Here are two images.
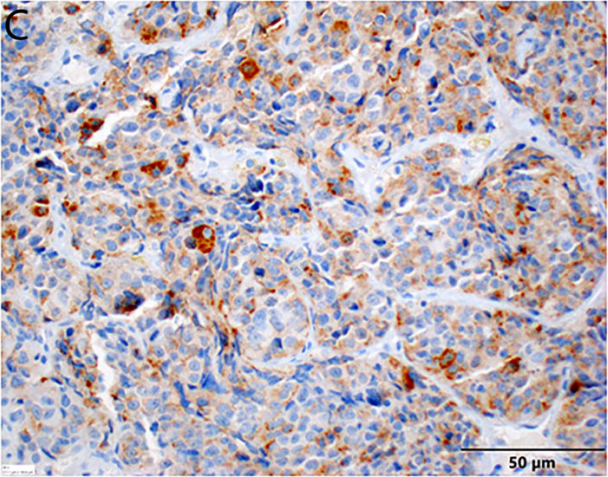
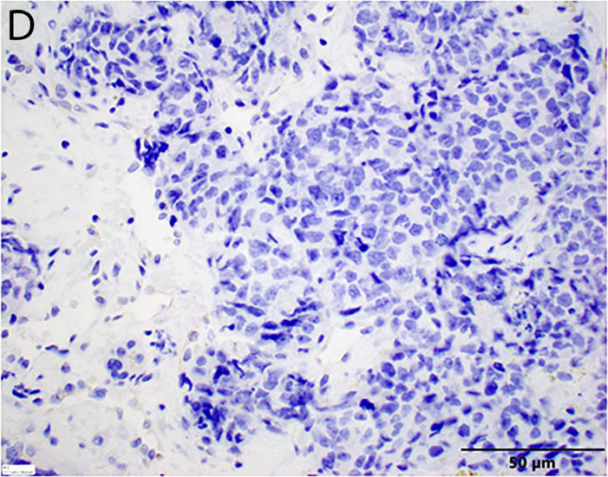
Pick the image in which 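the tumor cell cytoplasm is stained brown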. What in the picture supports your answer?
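Second image: tumor cells show only blue counterstain, with no brown colour. First image: tumor cell cytoplasm shows light to strong brown granular staining throughout the nests.
The first image.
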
